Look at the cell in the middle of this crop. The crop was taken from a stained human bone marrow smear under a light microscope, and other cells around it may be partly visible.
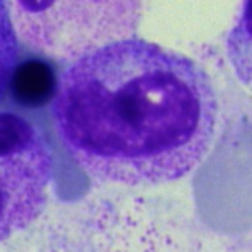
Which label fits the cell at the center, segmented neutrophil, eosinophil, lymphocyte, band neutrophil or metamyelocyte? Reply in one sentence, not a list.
The center cell of this crop is a metamyelocyte.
